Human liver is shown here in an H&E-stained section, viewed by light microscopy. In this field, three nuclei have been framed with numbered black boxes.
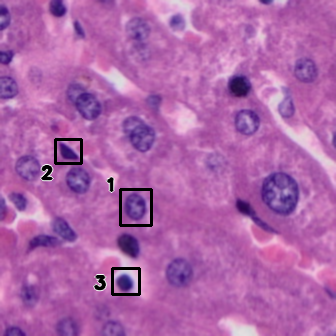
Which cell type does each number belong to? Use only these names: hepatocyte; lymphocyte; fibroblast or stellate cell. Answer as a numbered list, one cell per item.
1. hepatocyte
2. fibroblast or stellate cell
3. lymphocyte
